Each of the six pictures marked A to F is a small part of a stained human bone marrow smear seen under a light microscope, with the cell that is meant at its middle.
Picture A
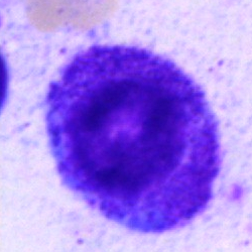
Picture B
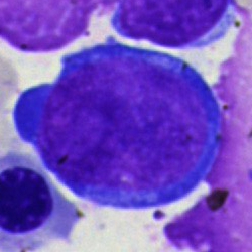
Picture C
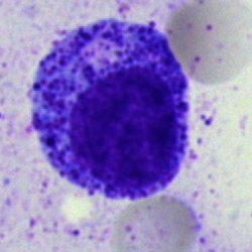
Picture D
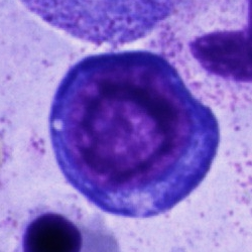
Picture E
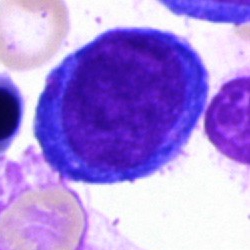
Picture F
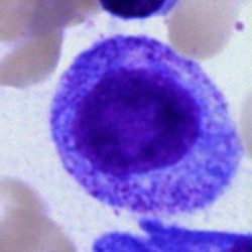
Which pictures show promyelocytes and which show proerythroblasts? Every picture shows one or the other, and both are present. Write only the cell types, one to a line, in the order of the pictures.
promyelocyte
proerythroblast
promyelocyte
proerythroblast
proerythroblast
promyelocyte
